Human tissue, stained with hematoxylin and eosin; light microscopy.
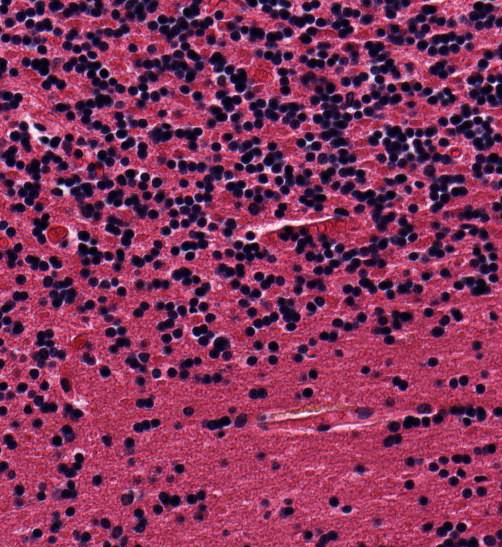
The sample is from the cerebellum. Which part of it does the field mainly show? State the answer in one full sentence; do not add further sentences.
The part of tissue on this slide is termed granular layer.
